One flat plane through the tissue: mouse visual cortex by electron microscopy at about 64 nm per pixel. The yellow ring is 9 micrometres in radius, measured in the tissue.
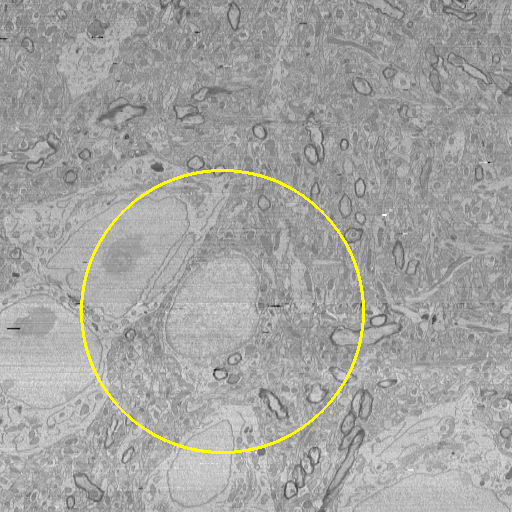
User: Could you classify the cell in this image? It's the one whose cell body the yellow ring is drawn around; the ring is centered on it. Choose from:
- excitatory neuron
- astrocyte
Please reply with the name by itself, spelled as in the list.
astrocyte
